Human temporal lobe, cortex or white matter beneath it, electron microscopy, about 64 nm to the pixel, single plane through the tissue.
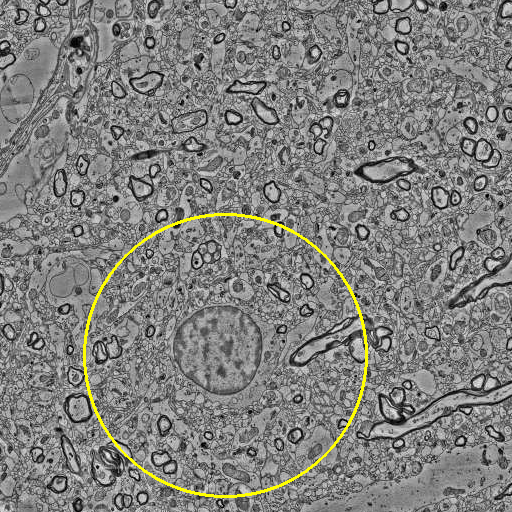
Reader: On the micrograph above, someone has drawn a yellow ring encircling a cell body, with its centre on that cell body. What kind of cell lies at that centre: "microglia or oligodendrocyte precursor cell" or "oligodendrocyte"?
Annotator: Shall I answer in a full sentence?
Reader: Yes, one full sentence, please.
Here an oligodendrocyte sits at the centre of the yellow ring drawn on the micrograph.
